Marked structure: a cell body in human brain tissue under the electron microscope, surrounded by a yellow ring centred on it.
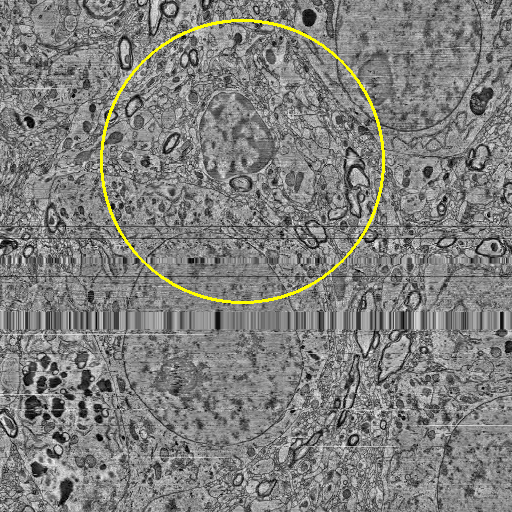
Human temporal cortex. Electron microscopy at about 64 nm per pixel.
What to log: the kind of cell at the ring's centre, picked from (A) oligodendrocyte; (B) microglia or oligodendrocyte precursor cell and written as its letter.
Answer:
B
